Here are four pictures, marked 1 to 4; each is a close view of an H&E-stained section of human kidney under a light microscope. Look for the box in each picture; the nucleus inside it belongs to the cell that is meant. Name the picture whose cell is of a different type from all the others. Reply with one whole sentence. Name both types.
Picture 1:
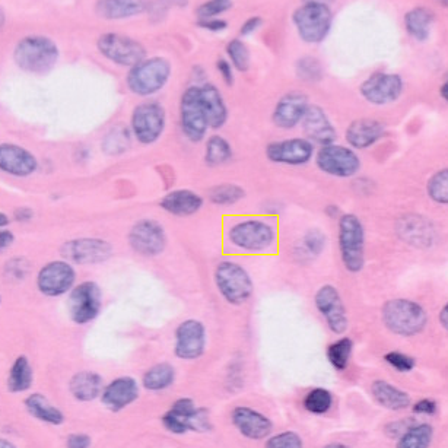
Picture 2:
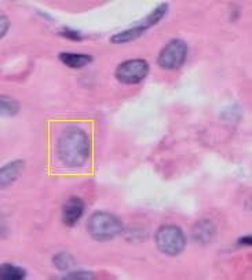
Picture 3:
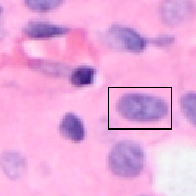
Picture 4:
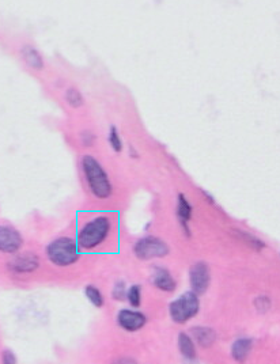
The others show collecting duct cells, but picture 2 shows a “loop of Henle or distal tubule cell”.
